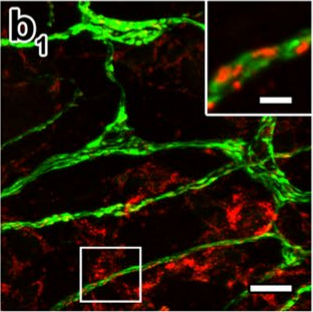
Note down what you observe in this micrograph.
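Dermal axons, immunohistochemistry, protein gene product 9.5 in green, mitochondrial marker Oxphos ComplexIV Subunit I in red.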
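Smooth green fibre bundles cross the field and outline large dark spaces. Red elongated puncta lie along and within the green fibres; the boxed region, enlarged in the inset, shows rod-like red bodies inside a green fibre. Separate patches of red granules lie between the fibres, away from the green strands. The fibres look continuous, without breaks.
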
